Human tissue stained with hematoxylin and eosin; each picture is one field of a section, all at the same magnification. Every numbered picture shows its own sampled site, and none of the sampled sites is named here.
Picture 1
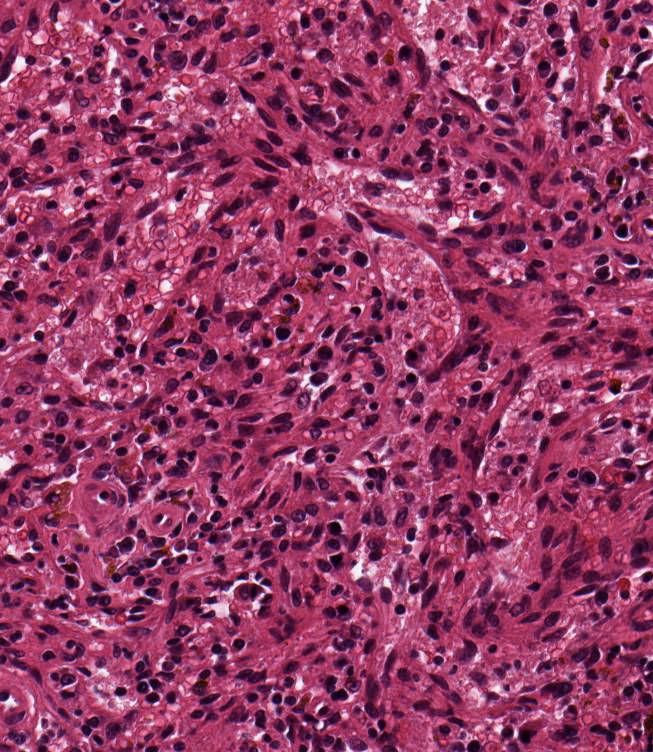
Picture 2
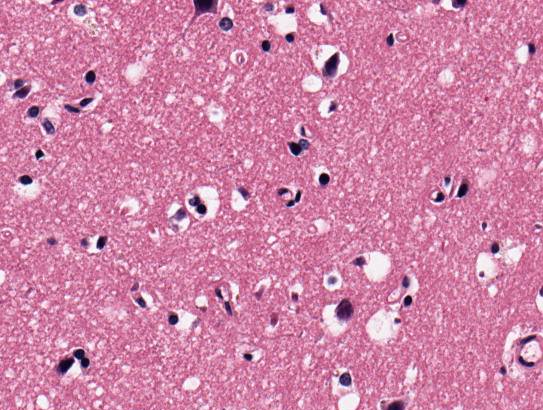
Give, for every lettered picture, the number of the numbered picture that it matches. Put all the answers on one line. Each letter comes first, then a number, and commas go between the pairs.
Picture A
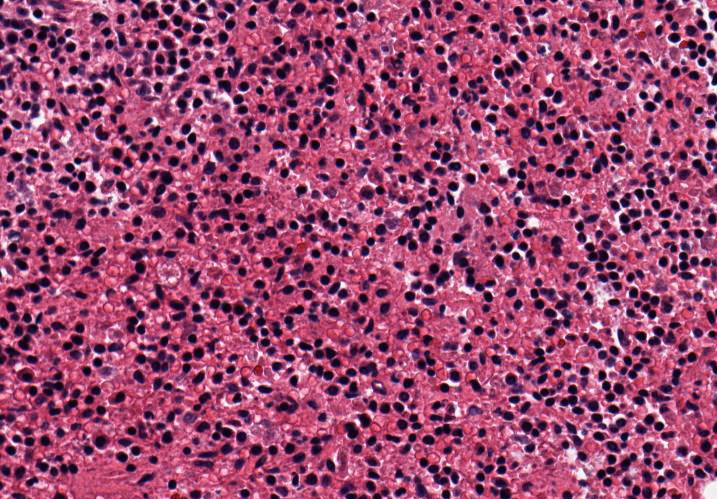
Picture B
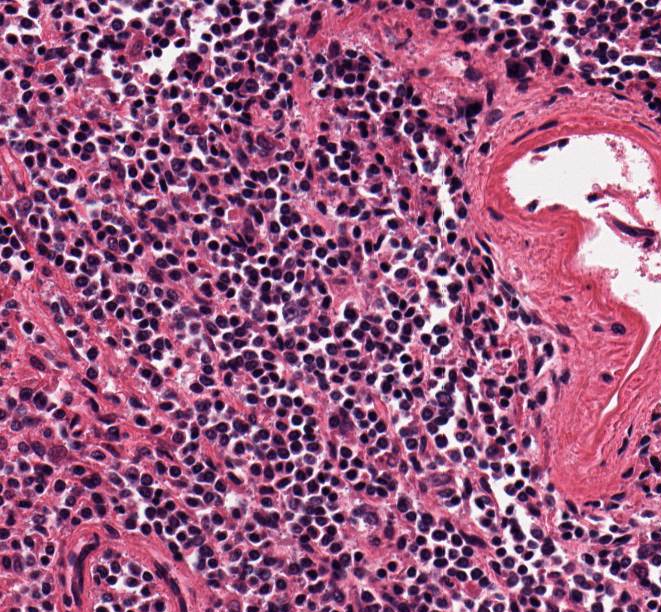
A 1, B 1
